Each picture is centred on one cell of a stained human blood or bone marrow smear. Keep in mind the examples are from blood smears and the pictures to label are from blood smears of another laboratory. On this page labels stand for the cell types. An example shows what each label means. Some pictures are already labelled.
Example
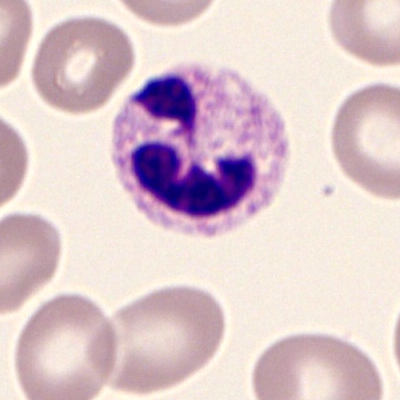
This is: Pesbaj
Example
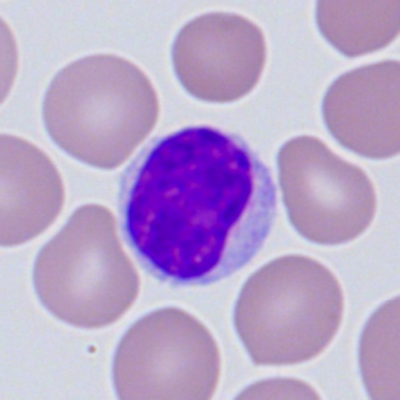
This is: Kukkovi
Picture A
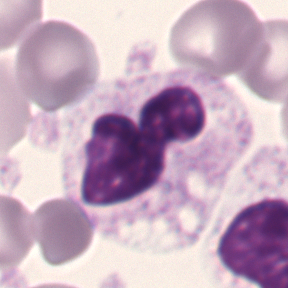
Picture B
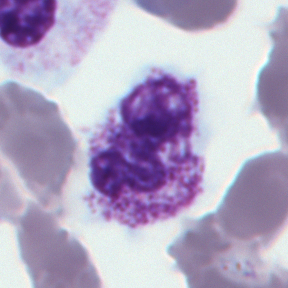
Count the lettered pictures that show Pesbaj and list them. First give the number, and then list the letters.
2, namely A, B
